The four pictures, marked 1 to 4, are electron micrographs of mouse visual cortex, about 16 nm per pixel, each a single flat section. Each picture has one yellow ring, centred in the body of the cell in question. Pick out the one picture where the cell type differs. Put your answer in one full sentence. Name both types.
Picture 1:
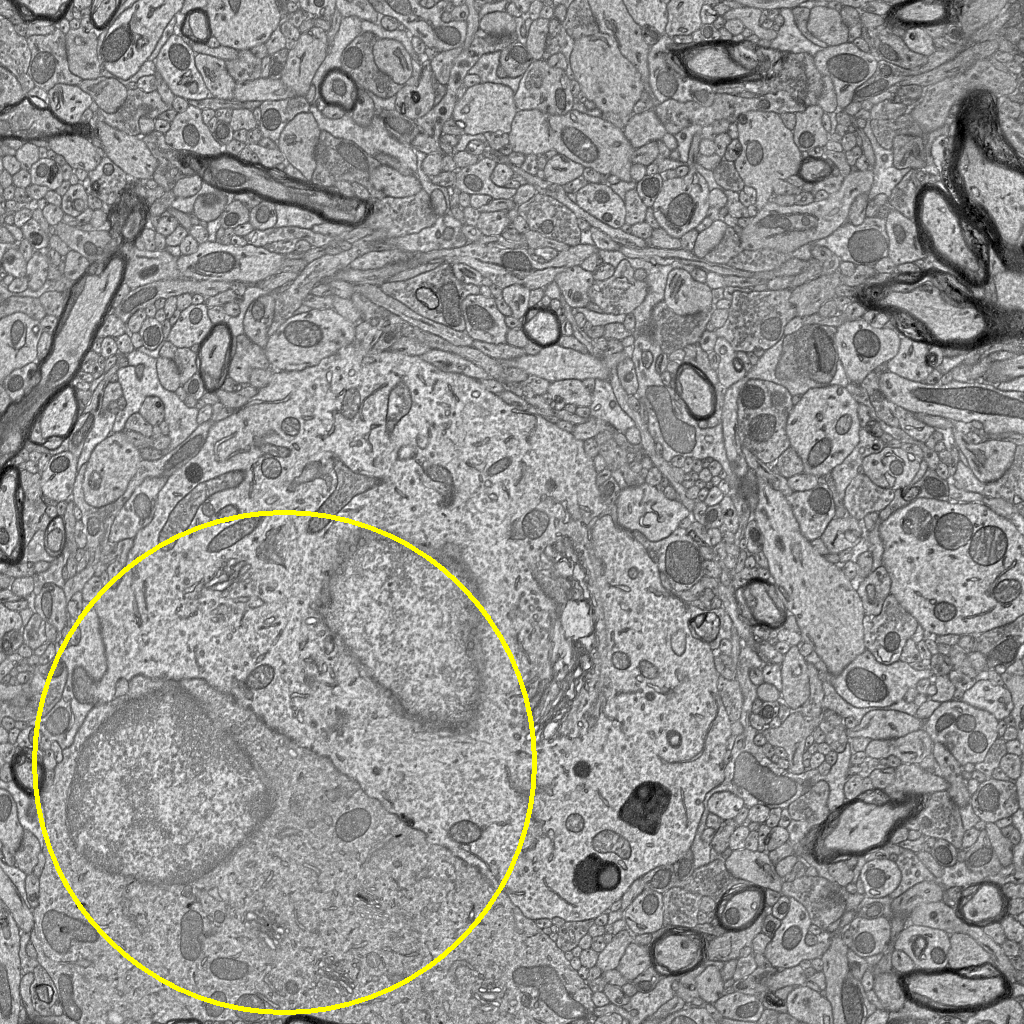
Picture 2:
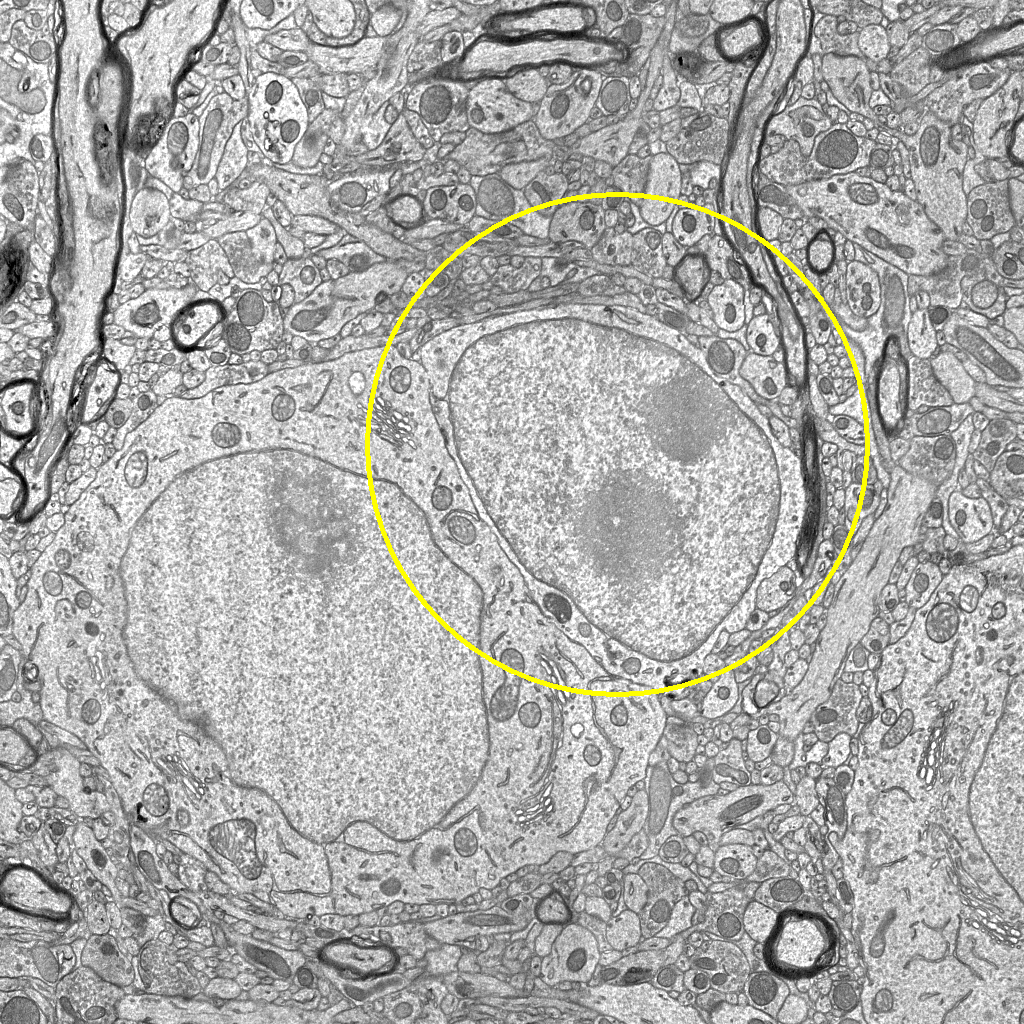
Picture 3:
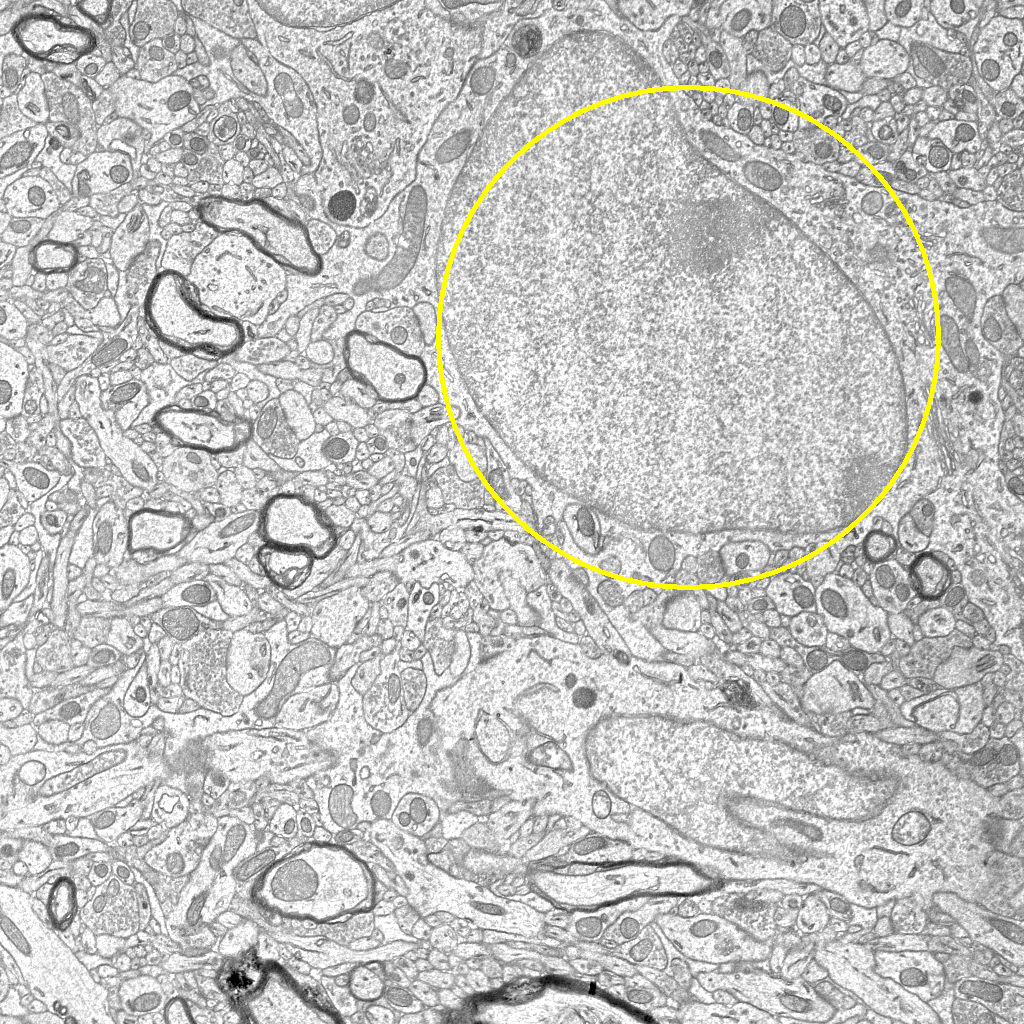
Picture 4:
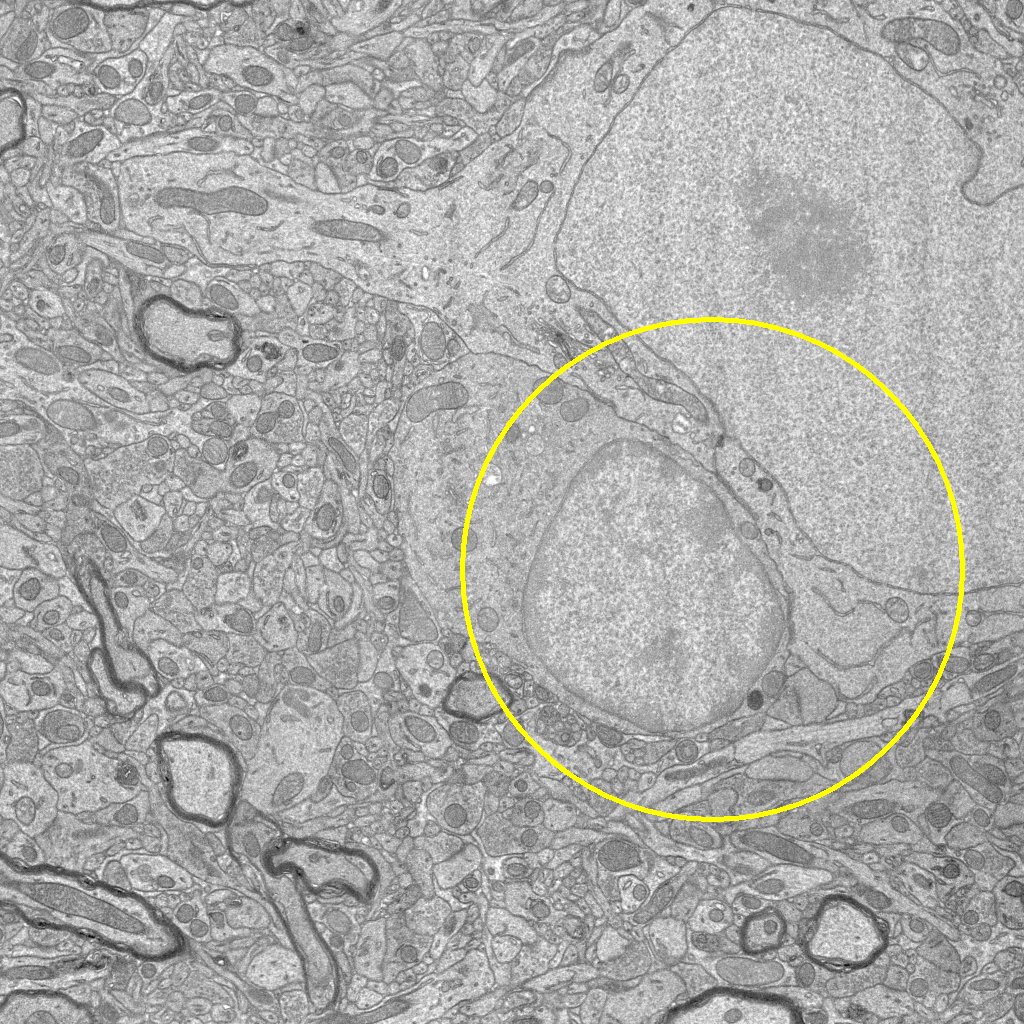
All pictures except 3 show oligodendrocytes; picture 3 shows an astrocyte.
